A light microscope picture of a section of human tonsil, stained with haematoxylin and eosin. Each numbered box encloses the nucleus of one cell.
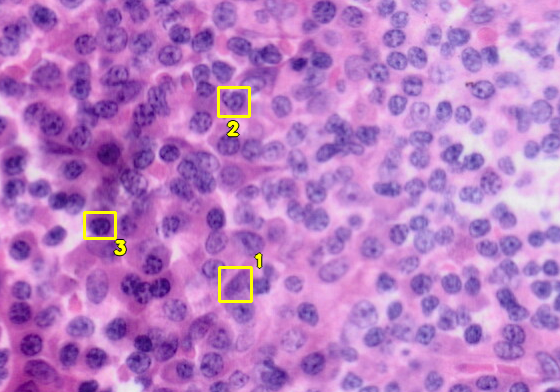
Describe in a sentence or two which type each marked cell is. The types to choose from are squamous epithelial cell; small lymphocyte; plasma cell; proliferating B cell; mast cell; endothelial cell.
Cell 1 is a squamous epithelial cell, cell 2 is a plasma cell and cell 3 is a plasma cell.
